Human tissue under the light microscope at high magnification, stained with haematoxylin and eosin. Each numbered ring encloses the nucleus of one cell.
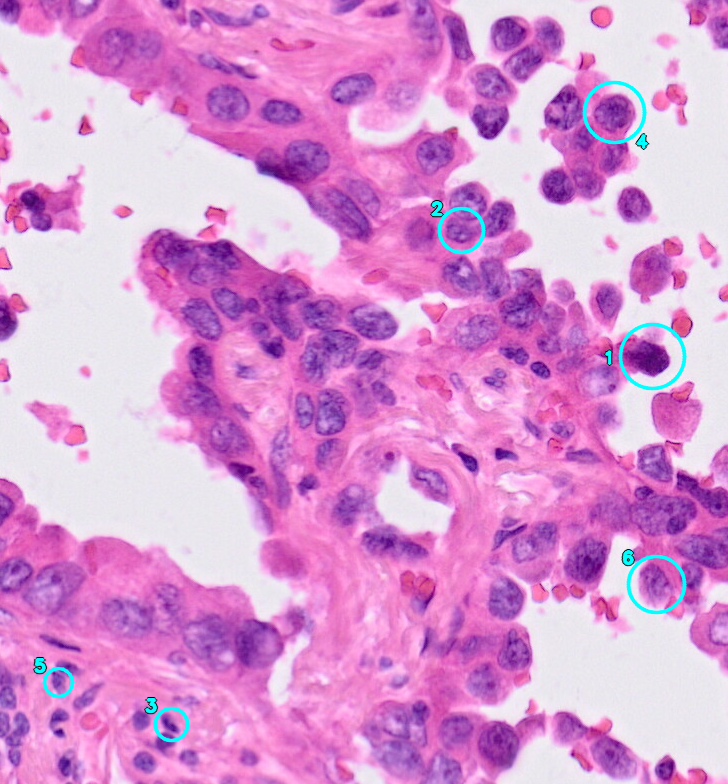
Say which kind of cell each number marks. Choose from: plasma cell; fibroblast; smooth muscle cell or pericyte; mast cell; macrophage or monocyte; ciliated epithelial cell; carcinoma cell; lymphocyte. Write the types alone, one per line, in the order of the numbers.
carcinoma cell
carcinoma cell
lymphocyte
carcinoma cell
lymphocyte
carcinoma cell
